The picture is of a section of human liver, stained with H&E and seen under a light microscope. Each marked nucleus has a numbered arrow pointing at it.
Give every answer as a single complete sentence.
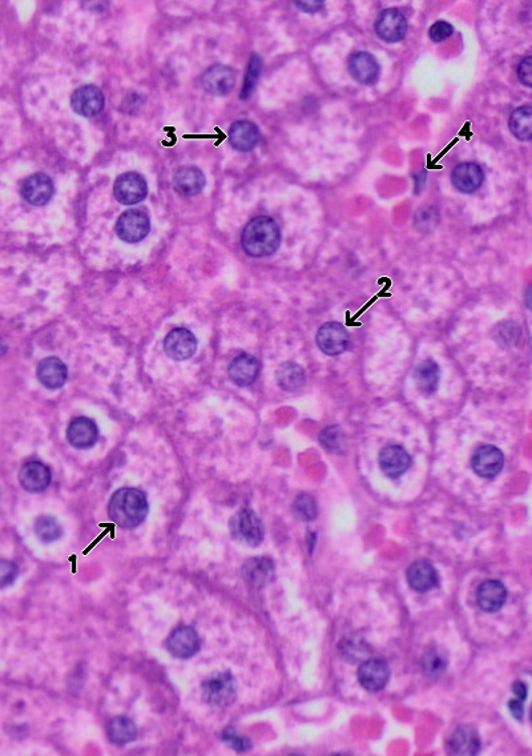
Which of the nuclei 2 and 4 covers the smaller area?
Nucleus 4 is the smaller one; nucleus 2 covers about 2.5 times its area.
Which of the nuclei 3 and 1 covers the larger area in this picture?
At about 1.5 times the area of nucleus 3, nucleus 1 is the larger of the two.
